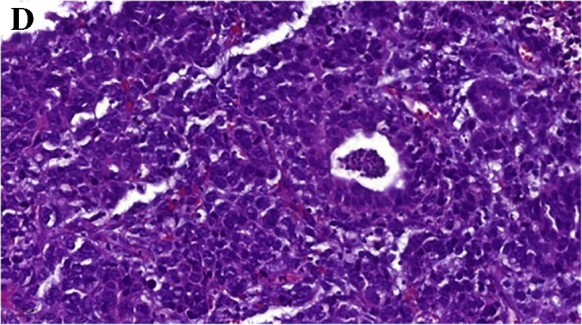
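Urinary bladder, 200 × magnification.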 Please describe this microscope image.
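This is a solid tumour of small dark cells with a gland-like structure in its midst. Most of the field is sheets of cells with dark crowded nuclei and little cytoplasm, cut by thin clefts. Near the centre, tumour cells are arranged in a ring around a rounded lumen. The lumen holds purple cellular debris. Small red-staining vessels lie between the cell sheets.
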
